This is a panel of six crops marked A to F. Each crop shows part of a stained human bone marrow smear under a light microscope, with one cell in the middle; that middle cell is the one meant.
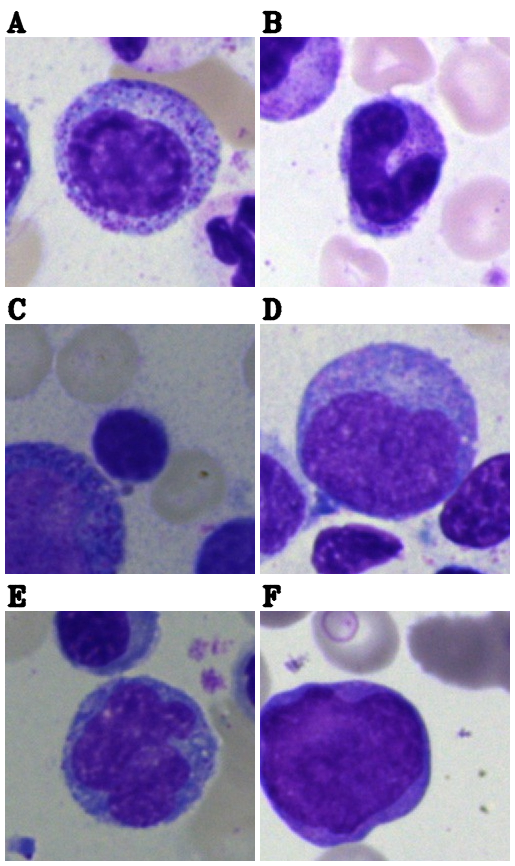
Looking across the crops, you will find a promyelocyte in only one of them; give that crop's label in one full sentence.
The correct choice is crop D, the one showing a promyelocyte.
